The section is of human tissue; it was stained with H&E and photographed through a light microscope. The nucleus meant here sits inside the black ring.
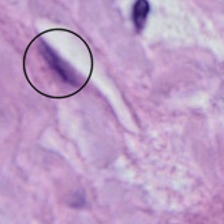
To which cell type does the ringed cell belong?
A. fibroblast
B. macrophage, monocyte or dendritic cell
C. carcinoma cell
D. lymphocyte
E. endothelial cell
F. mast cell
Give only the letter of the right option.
A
